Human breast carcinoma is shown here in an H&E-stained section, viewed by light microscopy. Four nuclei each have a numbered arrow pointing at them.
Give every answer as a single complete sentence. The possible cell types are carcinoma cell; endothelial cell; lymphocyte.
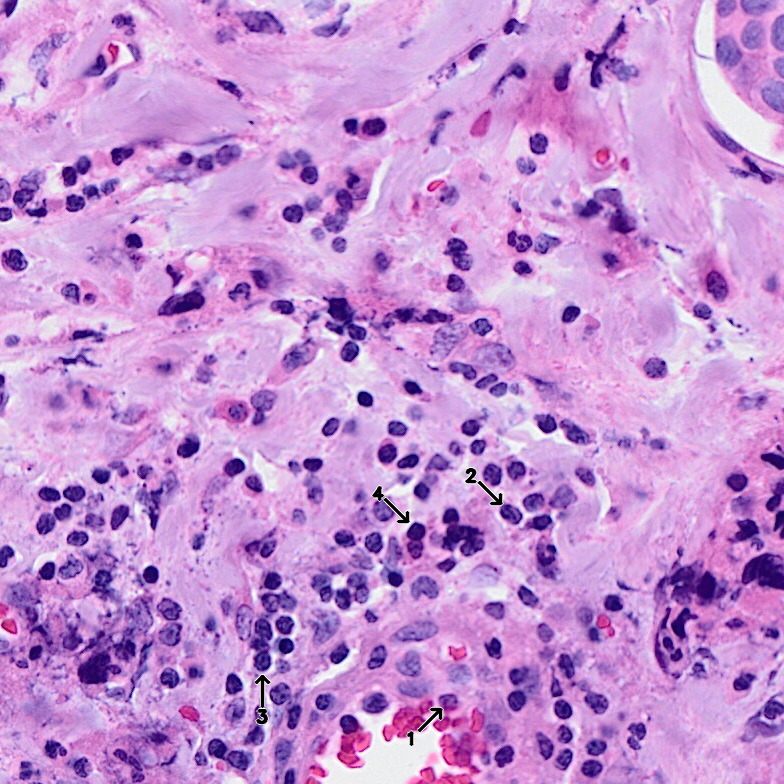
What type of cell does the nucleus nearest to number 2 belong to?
The nearest nucleus to number 2 belongs to a lymphocyte.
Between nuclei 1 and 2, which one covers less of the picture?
Nucleus 1 covers less area, with nucleus 2 about 1.5 times as large.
